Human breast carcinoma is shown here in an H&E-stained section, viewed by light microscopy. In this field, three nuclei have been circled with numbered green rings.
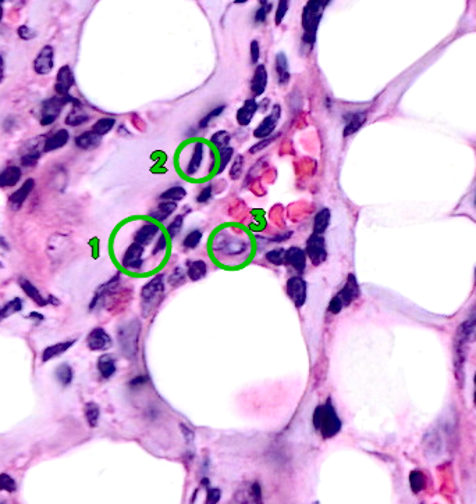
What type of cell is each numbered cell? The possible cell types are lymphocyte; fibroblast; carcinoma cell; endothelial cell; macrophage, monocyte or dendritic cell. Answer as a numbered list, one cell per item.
1. lymphocyte
2. lymphocyte
3. endothelial cell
